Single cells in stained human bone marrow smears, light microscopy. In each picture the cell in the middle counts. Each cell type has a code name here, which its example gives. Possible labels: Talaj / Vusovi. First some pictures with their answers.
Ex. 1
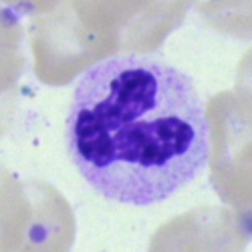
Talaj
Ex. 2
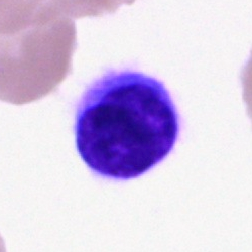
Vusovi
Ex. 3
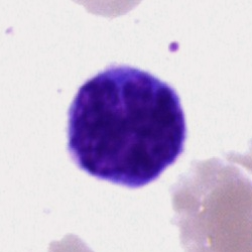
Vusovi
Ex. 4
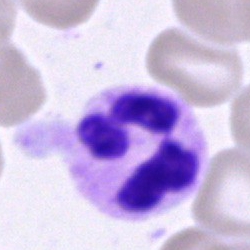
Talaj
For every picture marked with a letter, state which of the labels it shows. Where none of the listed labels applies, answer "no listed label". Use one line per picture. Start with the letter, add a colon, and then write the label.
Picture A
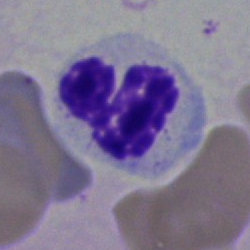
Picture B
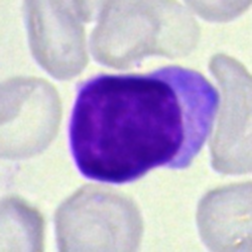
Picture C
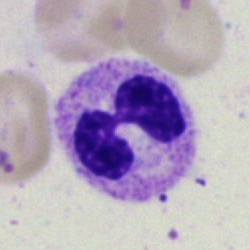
A: Talaj
B: Vusovi
C: Talaj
